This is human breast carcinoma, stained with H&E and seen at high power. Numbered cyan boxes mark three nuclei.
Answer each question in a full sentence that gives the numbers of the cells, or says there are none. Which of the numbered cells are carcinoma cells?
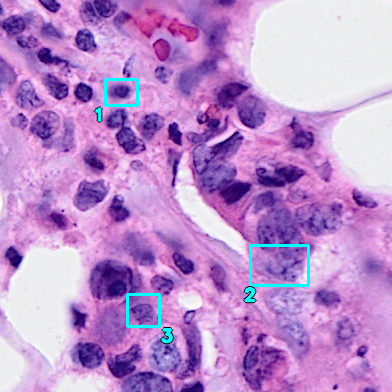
So, the cells with numbers 2 and 3 are carcinoma cells.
